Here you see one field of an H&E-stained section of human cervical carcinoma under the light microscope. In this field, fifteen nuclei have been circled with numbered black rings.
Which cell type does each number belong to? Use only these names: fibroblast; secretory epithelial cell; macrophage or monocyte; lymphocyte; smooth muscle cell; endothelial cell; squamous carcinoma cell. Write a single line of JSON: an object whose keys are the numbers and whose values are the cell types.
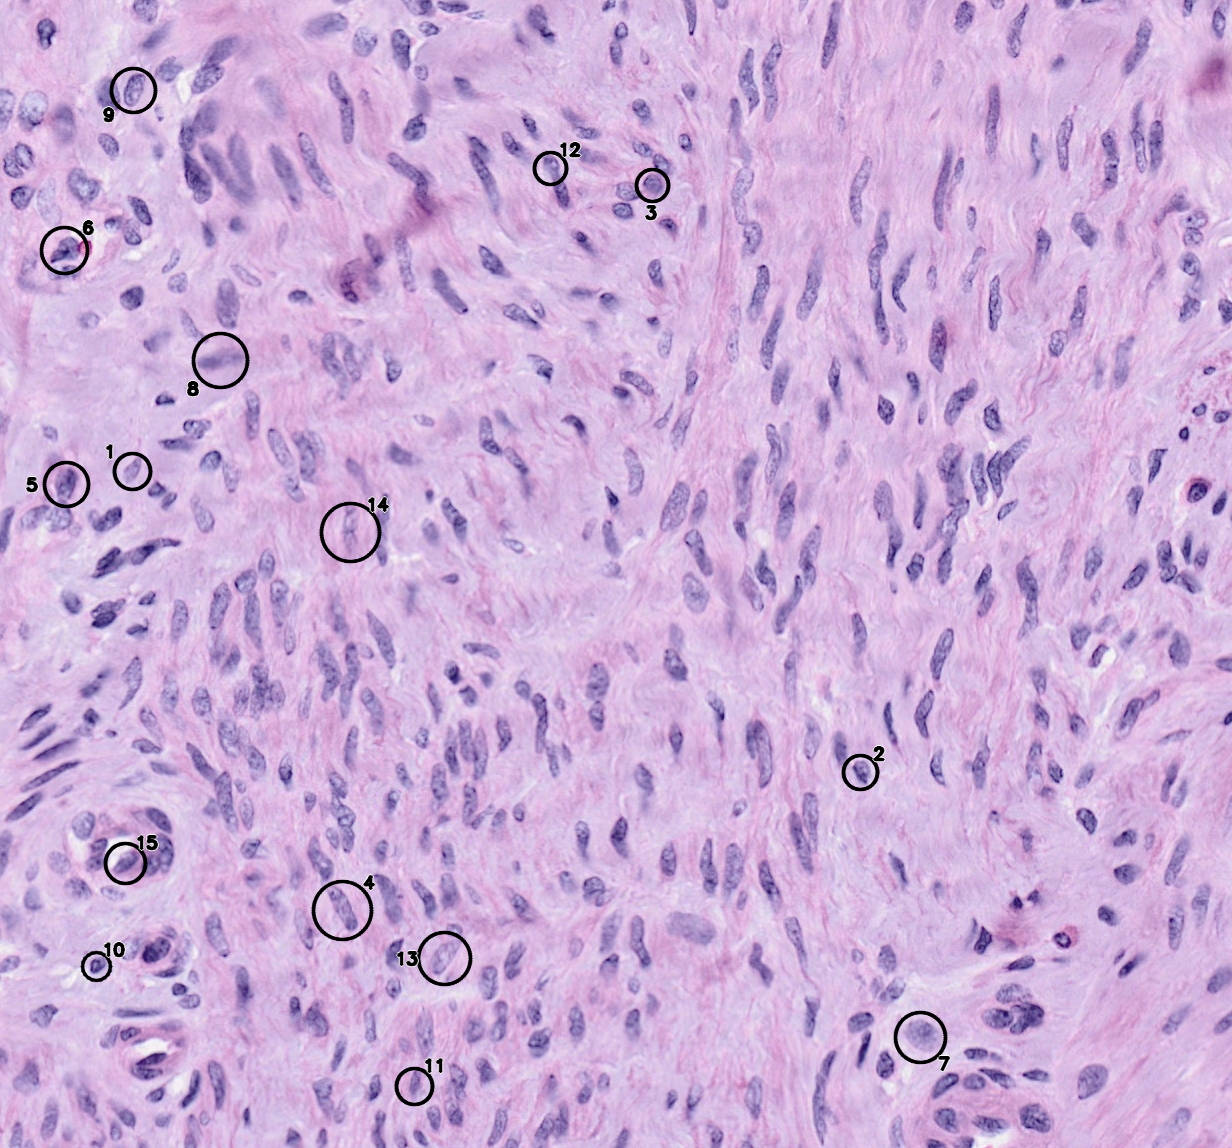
{"1": "fibroblast", "2": "fibroblast", "3": "smooth muscle cell", "4": "smooth muscle cell", "5": "endothelial cell", "6": "endothelial cell", "7": "fibroblast", "8": "fibroblast", "9": "fibroblast", "10": "fibroblast", "11": "smooth muscle cell", "12": "smooth muscle cell", "13": "smooth muscle cell", "14": "smooth muscle cell", "15": "endothelial cell"}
